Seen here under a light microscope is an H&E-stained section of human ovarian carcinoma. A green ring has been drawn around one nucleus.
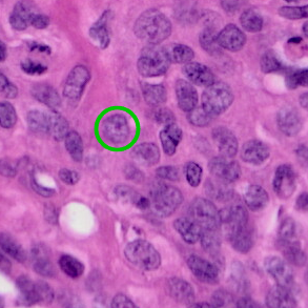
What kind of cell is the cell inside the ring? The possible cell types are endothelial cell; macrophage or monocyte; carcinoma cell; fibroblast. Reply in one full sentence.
Just put down that the cell inside the ring is a carcinoma cell.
